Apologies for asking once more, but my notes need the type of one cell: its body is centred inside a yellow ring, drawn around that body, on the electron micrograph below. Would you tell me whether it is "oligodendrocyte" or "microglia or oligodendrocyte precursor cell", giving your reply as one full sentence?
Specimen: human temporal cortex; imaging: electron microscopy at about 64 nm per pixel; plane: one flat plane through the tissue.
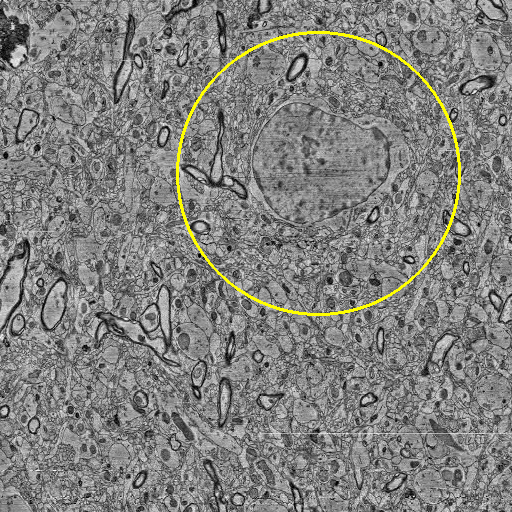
The cell that the yellow ring is centred on is a microglial cell or oligodendrocyte precursor cell in this micrograph.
